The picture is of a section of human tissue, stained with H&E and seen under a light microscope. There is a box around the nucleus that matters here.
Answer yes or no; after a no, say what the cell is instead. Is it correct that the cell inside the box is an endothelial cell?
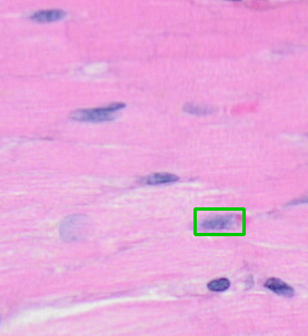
Yes.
